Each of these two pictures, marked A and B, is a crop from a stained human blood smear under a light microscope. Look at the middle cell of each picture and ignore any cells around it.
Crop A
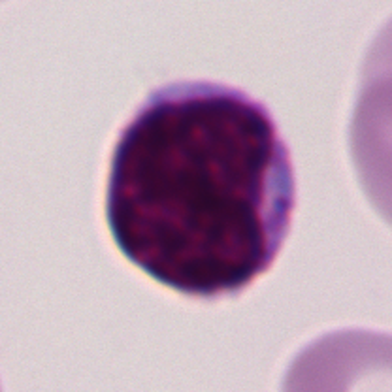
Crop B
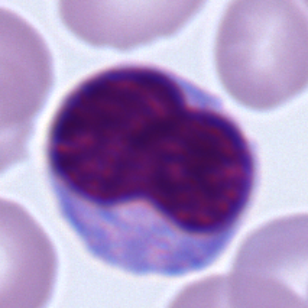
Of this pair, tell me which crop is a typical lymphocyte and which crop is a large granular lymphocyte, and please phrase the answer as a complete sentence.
What is seen in crop A is a large granular lymphocyte; what is seen in crop B is a typical lymphocyte.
